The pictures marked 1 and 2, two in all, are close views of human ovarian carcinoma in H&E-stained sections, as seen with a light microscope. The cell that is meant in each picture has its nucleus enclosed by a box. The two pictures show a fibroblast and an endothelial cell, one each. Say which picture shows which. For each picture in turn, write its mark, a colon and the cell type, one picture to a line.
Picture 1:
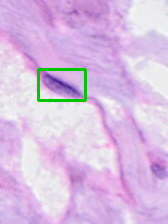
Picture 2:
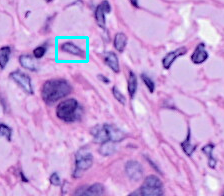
1: endothelial cell
2: fibroblast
